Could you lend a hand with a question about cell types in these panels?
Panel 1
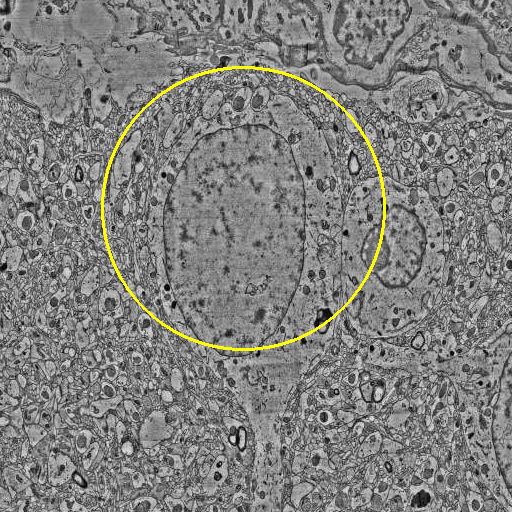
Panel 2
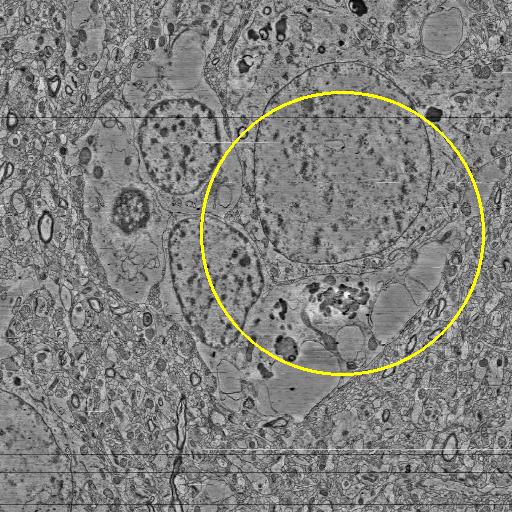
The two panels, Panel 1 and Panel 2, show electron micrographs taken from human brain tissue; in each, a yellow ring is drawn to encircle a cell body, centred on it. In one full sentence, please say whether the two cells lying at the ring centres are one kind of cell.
Yes, the cells at the ring centres in the two panels are one kind of cell.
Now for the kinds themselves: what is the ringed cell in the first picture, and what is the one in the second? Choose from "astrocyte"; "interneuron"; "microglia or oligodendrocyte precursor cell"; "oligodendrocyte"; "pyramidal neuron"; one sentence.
Each cell at the centre of a ring is a pyramidal neuron.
